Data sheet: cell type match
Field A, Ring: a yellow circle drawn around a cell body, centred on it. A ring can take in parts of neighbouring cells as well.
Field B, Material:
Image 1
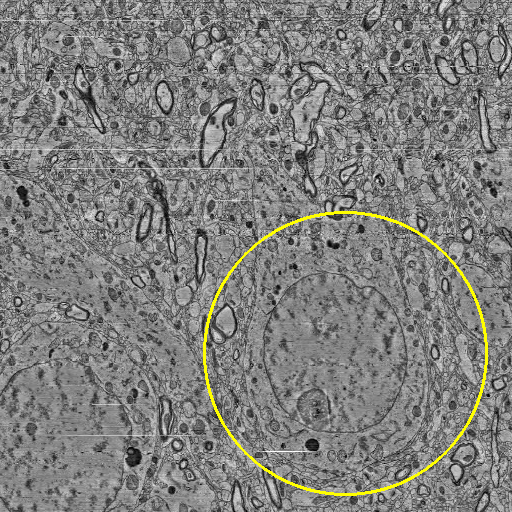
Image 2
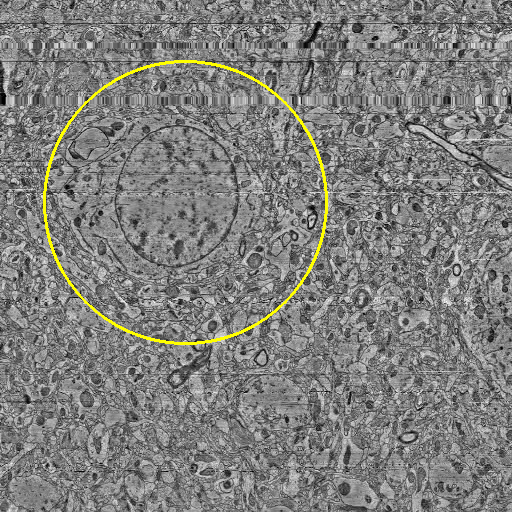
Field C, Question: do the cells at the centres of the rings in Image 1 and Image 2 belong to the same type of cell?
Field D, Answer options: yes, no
yes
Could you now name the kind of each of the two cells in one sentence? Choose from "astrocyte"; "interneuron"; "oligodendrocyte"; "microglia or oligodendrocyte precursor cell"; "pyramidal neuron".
In both pictures the ring is centred on a pyramidal neuron.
